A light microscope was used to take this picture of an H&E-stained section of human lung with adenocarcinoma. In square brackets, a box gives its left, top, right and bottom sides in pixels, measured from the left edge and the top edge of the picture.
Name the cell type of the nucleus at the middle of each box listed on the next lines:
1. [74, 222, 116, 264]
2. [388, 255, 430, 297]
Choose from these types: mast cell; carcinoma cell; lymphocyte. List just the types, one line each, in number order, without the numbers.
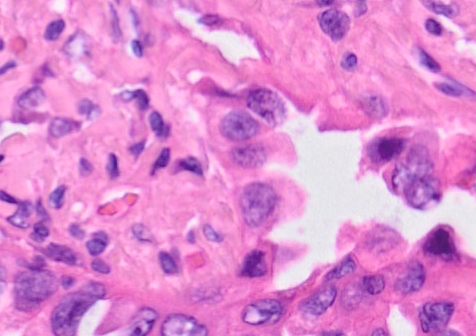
lymphocyte
carcinoma cell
